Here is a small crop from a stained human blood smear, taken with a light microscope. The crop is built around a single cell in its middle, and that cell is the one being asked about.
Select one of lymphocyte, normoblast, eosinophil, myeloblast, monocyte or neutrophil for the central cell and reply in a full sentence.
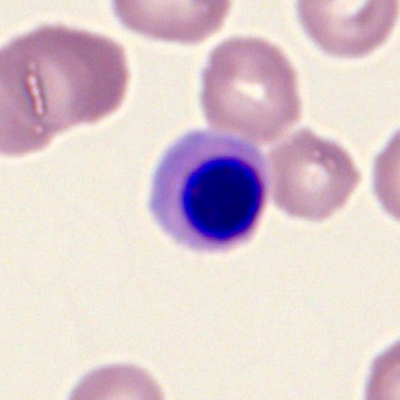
In the crop, the cell of interest at the centre is a normoblast.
